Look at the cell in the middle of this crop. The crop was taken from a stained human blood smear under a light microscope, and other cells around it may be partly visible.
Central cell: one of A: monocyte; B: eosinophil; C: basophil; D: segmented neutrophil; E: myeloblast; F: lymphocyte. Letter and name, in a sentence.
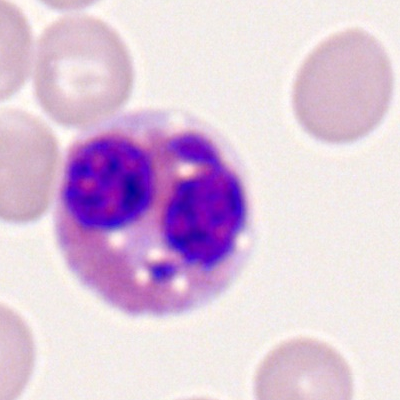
Of the options given, B is correct, the central cell being an eosinophil.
